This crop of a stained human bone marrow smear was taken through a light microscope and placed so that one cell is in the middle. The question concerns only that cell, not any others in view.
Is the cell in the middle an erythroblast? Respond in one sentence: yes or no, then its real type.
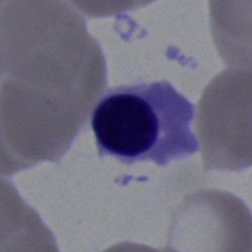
Yes, the cell shown in the middle is an erythroblast.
